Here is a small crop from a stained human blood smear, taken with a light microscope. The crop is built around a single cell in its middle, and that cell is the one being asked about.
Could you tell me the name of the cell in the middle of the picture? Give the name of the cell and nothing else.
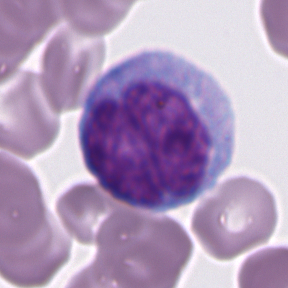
monocyte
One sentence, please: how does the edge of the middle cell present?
The edge of the cell is unbroken and smooth, bearing no projections.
